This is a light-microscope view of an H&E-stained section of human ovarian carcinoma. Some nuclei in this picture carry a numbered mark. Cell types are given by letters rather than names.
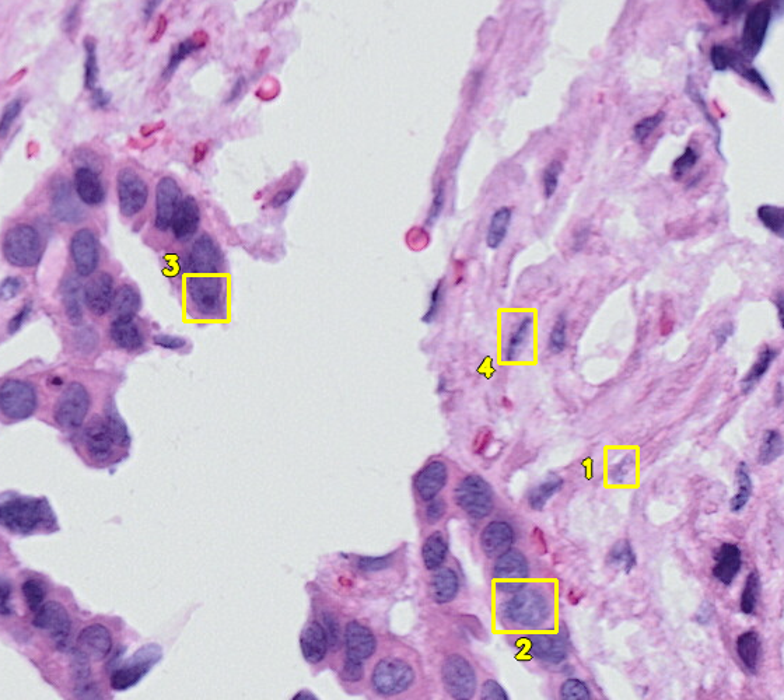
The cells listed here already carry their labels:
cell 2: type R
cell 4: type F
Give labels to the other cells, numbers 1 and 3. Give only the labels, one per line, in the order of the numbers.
type F
type R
